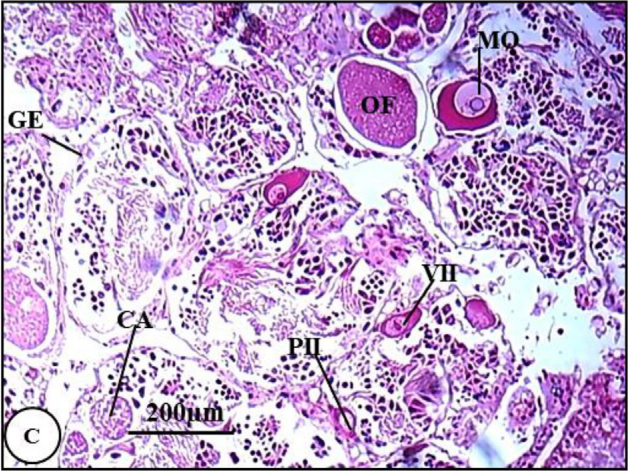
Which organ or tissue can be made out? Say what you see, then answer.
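Large pink-staining oocytes lying among the acini in the same organ. Bundles of pink filaments within acini.
Hermaphrodite gland.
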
